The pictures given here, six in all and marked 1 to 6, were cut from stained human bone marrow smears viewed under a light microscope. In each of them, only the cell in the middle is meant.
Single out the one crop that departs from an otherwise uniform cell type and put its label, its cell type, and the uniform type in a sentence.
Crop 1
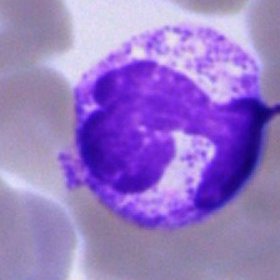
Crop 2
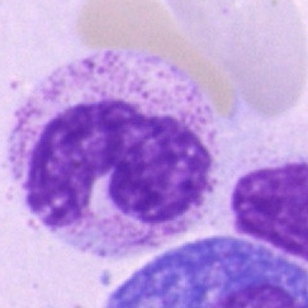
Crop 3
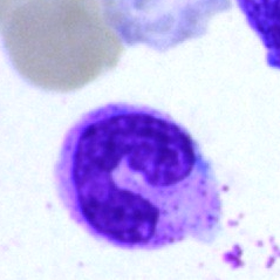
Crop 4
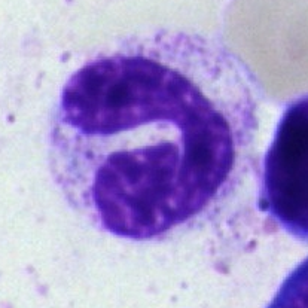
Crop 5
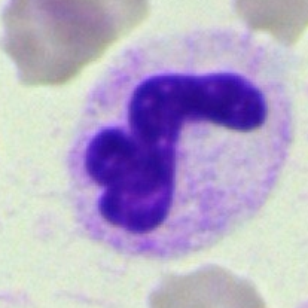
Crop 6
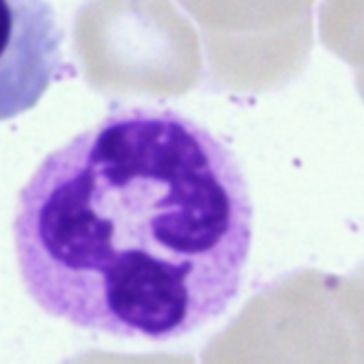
Crop 3 presents a band neutrophil, while segmented neutrophils are presented by all other crops.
